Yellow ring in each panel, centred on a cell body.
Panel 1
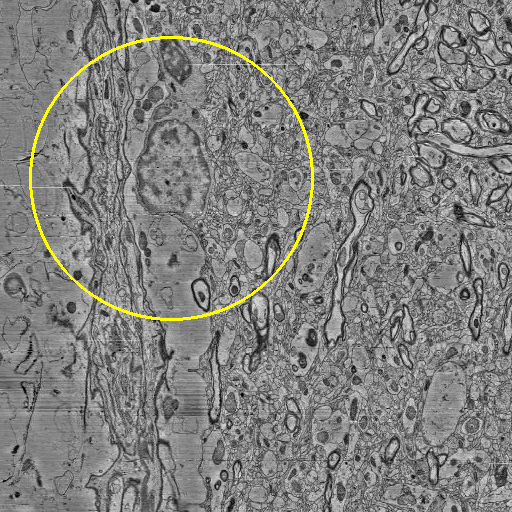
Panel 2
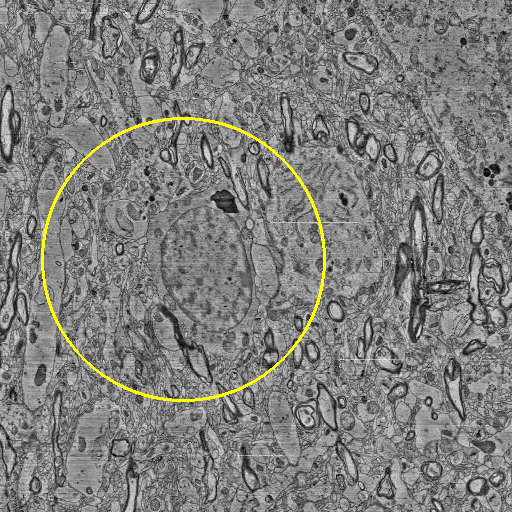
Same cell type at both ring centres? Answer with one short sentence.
Yes, both cells are of the same type.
